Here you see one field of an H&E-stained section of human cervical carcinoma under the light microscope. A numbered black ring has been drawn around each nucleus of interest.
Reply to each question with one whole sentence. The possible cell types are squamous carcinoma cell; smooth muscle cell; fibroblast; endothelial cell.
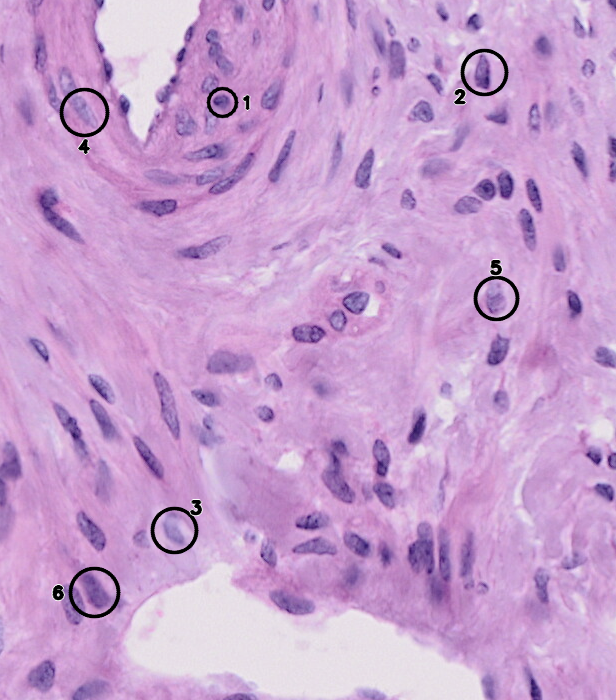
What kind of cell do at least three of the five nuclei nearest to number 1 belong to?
Smooth muscle cells make up most of the five nuclei closest to number 1.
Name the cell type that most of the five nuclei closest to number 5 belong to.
The majority of the five nuclei closest to number 5 belong to fibroblasts.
